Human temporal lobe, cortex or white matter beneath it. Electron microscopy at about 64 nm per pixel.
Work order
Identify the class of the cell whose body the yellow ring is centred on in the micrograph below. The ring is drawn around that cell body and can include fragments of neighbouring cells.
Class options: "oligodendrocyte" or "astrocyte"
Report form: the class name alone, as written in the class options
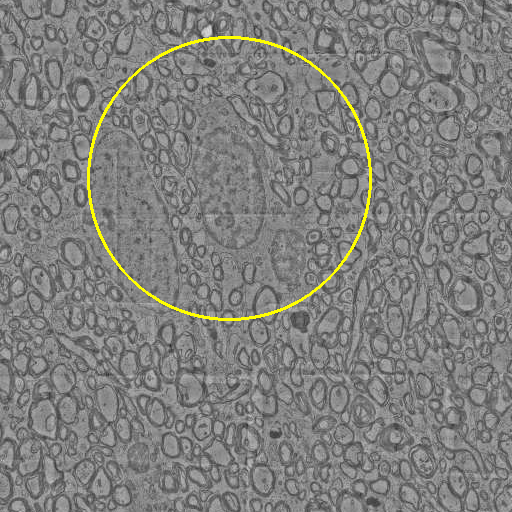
oligodendrocyte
